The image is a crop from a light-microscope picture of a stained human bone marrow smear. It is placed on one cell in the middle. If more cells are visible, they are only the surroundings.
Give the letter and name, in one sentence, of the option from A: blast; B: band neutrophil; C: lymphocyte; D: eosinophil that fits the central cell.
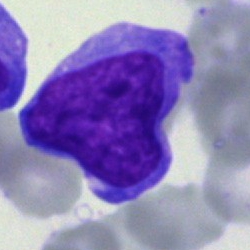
Option A holds, for the cell in the middle is a blast.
